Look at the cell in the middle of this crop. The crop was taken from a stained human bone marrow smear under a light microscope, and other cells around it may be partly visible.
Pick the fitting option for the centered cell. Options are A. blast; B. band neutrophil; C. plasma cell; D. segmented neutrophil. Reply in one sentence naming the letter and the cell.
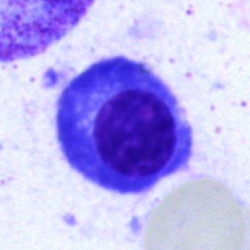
Option C is the correct selection, for the cell at the centre is a plasma cell.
